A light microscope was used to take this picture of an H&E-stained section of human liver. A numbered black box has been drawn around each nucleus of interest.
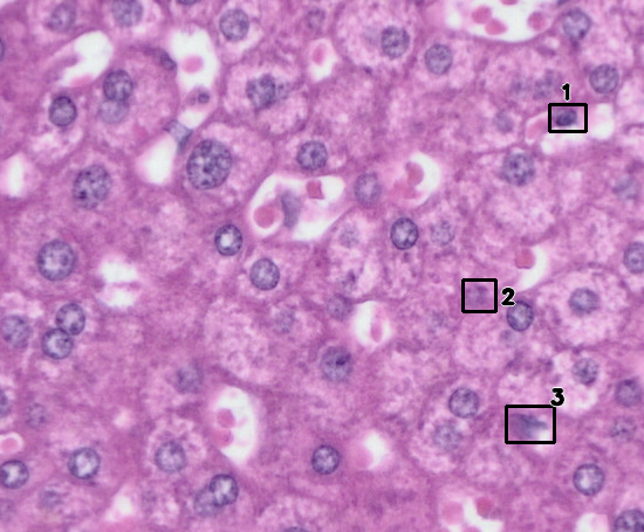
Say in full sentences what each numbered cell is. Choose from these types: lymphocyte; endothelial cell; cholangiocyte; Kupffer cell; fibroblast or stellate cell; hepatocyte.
Cell 1 is a Kupffer cell. Cell 2 is a hepatocyte. Cell 3 is an endothelial cell.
